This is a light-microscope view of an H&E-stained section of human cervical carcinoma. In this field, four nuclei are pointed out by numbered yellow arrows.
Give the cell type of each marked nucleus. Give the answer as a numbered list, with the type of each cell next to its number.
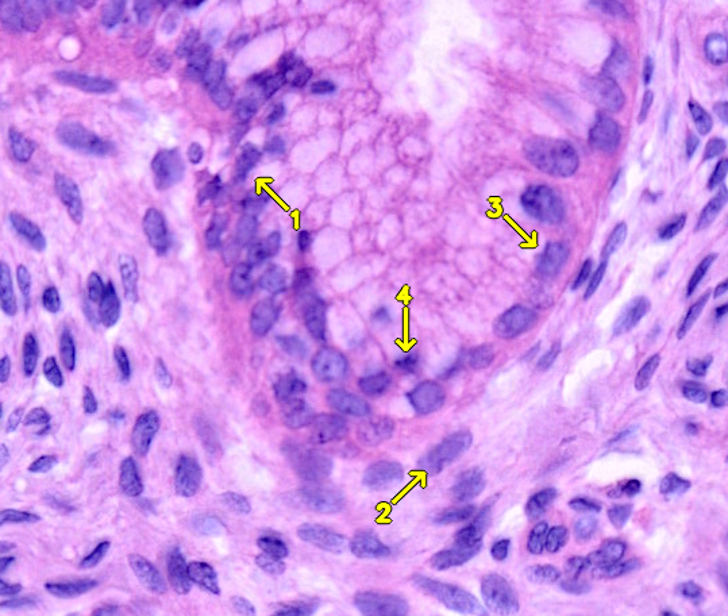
1. secretory epithelial cell
2. fibroblast
3. secretory epithelial cell
4. secretory epithelial cell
